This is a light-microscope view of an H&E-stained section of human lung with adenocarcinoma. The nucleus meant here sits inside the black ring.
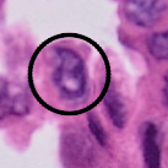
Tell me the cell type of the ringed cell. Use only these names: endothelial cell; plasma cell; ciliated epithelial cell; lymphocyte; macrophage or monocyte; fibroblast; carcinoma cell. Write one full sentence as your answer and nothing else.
Microscopically, the ringed cell is categorized as a carcinoma cell.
